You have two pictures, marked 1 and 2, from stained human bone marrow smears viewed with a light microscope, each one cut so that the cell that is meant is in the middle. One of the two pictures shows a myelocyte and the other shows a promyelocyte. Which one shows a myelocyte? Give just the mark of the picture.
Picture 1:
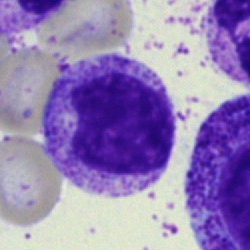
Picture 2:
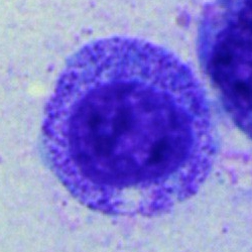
1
